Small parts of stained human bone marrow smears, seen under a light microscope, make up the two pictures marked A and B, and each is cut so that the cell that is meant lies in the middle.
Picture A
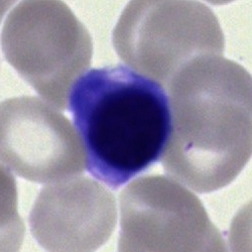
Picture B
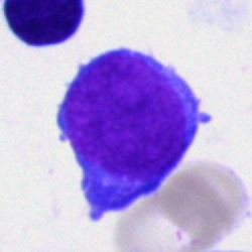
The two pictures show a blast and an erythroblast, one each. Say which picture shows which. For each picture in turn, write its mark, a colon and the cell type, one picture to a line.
A: erythroblast
B: blast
